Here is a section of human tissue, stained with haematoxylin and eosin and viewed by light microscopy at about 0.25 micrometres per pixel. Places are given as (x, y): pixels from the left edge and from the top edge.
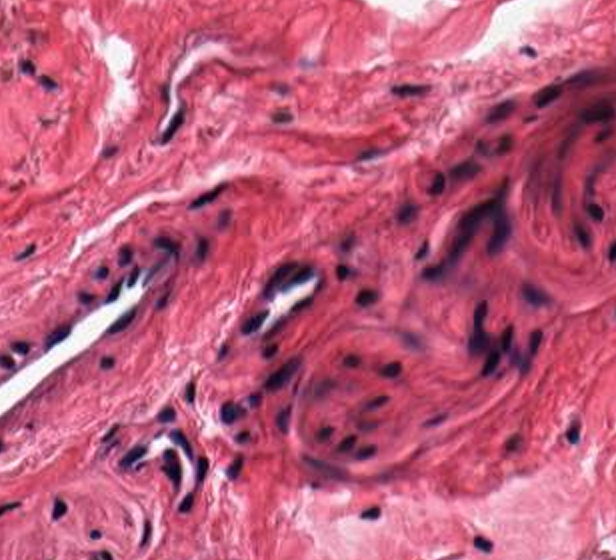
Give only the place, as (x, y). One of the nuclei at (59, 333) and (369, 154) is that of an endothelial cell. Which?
(59, 333)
